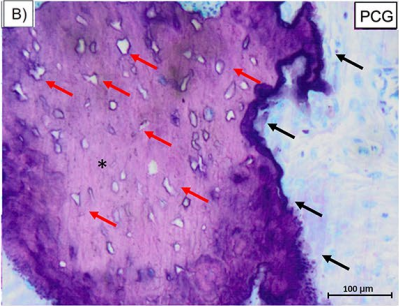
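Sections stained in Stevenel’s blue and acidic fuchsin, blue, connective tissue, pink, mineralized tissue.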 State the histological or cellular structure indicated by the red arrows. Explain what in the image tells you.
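Empty lacunae without osteocytes. The arrows point to small clear spaces within pale pink matrix. The spaces contain no stained nucleus.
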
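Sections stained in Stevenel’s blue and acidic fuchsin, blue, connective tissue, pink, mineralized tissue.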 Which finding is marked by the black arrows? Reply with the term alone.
Irregularities in bone surface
